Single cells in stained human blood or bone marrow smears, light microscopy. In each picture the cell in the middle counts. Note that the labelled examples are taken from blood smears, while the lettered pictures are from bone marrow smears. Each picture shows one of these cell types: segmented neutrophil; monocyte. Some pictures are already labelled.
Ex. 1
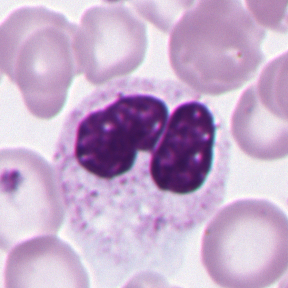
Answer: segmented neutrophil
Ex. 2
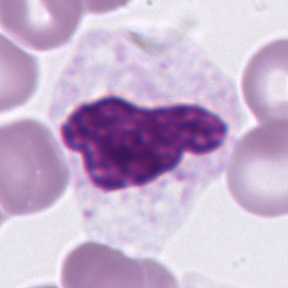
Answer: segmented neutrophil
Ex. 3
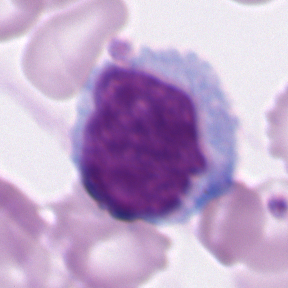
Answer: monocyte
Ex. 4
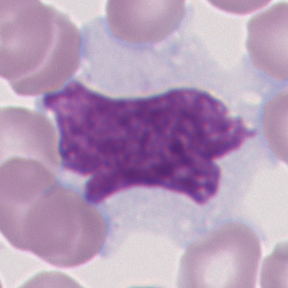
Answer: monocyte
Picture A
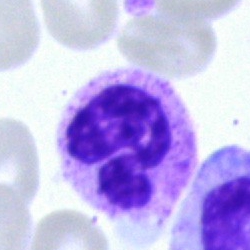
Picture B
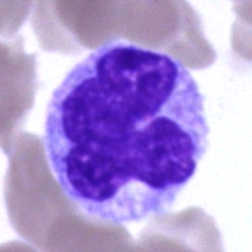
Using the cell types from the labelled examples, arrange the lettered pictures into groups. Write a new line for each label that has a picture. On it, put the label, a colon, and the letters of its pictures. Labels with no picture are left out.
segmented neutrophil: A
monocyte: B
